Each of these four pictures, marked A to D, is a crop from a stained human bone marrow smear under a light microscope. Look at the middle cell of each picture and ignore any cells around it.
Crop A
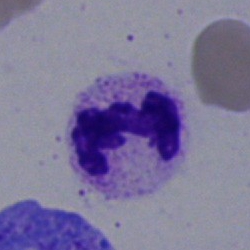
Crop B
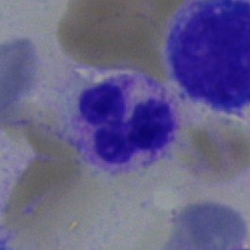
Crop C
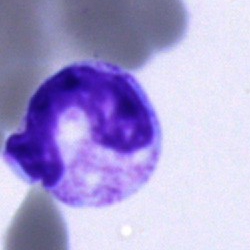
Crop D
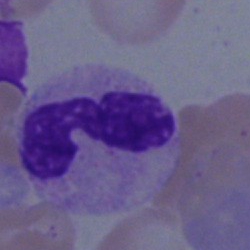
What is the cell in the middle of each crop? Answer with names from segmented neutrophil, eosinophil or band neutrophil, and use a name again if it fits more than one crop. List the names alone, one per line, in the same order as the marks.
segmented neutrophil
segmented neutrophil
band neutrophil
segmented neutrophil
